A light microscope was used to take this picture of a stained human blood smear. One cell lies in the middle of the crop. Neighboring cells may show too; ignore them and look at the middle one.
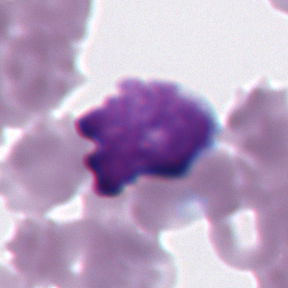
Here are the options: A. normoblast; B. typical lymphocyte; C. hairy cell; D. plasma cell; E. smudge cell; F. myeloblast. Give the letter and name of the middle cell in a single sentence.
That middle cell is a typical lymphocyte, and option B is therefore correct.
